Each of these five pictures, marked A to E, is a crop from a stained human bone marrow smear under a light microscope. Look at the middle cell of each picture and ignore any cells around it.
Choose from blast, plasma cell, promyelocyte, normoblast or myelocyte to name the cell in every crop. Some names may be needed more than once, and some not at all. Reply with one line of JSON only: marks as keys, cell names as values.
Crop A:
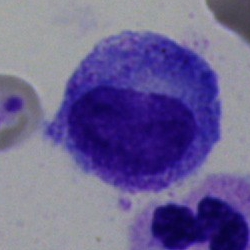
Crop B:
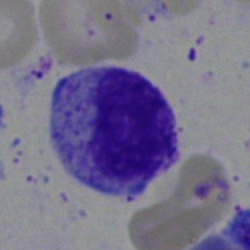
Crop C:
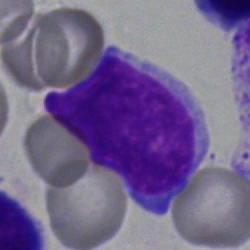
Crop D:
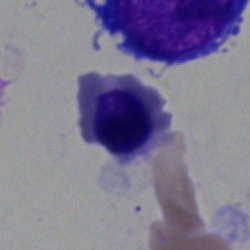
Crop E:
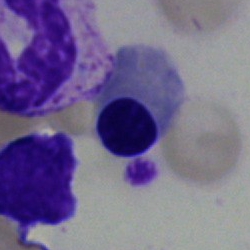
{"A": "promyelocyte", "B": "myelocyte", "C": "blast", "D": "normoblast", "E": "normoblast"}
